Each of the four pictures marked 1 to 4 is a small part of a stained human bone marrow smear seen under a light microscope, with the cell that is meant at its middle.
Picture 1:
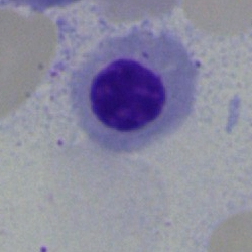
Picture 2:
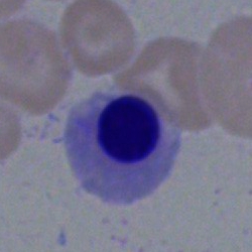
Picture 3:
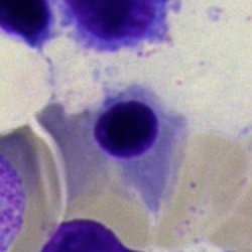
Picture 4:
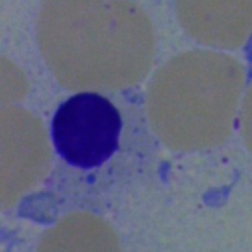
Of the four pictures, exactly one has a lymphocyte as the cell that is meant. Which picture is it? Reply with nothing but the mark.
4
